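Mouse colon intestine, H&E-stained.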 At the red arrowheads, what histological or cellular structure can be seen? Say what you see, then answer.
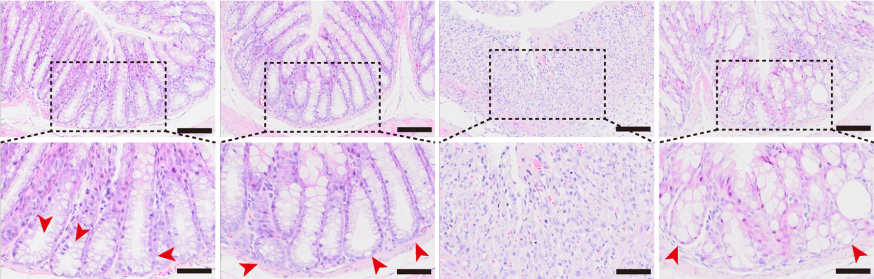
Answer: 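Arrowheads point at the bases of tubular glands lined by a single epithelial layer. The glands stand side by side perpendicular to the mucosal surface.
Conclusion: crypts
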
